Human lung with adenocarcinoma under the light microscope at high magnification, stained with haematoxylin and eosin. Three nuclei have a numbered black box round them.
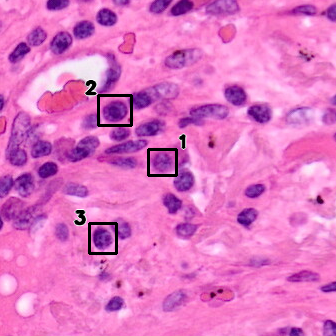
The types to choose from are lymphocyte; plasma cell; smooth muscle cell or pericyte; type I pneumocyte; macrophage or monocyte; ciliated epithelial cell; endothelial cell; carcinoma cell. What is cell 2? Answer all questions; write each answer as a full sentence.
Denoted by the label 2 in the section is a lymphocyte.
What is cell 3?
The cell indicated by marker 3 is a lymphocyte in this section.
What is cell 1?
The nucleus labelled 1 belongs to a plasma cell.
